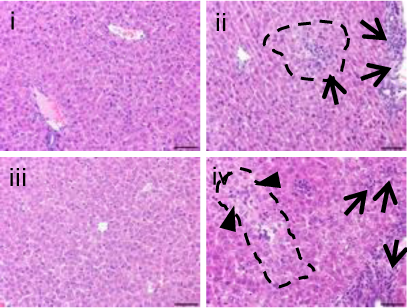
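This set shows liver lobules stained pink and purple, with hepatocytes arranged around small vessels. The left images show evenly stained hepatocyte plates.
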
